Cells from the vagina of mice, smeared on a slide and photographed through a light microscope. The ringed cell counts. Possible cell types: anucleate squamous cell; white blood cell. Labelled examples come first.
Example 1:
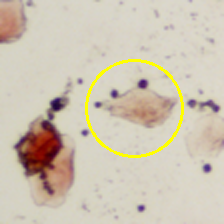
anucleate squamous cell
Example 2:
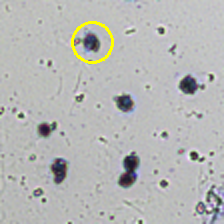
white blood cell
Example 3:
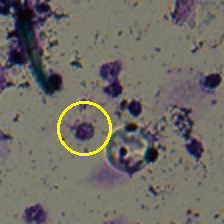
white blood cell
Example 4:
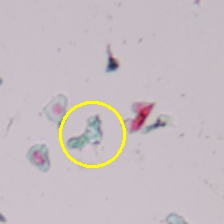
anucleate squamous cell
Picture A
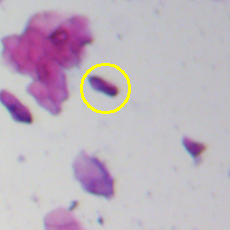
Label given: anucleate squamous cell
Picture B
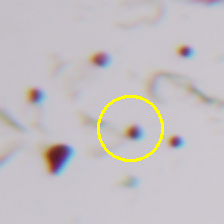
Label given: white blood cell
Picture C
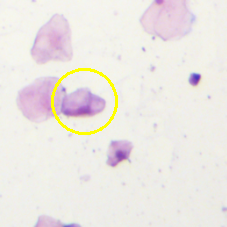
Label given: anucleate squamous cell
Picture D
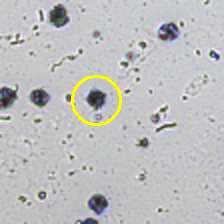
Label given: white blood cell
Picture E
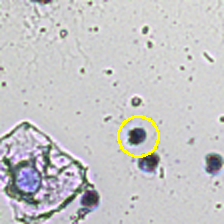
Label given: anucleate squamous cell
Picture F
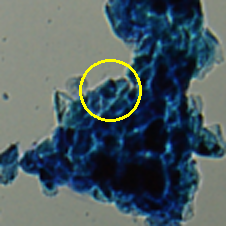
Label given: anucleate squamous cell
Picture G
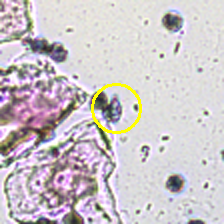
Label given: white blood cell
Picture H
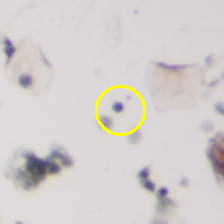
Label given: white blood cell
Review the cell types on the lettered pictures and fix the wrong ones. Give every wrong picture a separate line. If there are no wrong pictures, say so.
E: white blood cell, not anucleate squamous cell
